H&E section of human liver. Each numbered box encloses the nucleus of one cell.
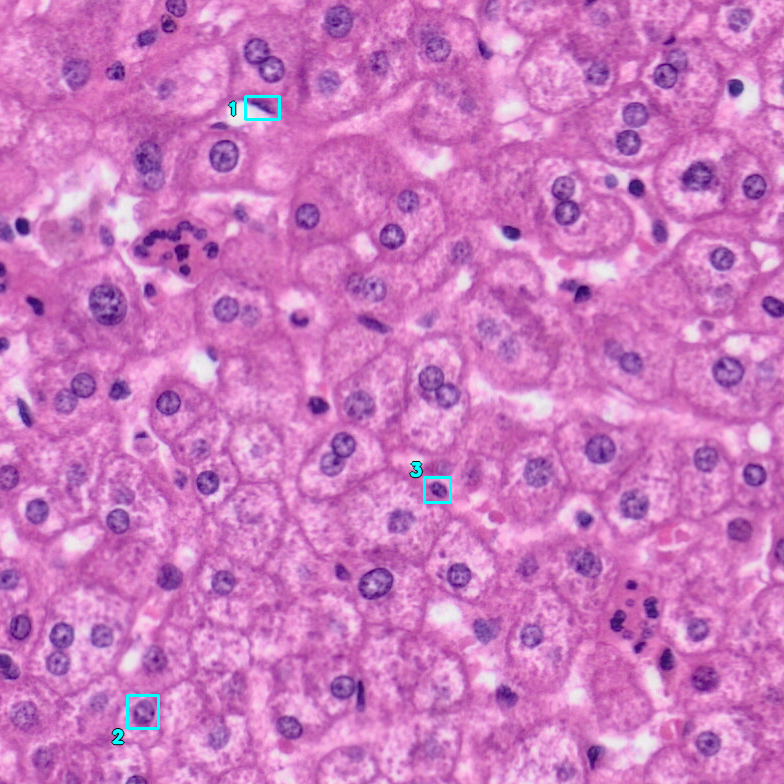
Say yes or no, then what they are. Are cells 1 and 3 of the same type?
No, as to type, cell 1 is an endothelial cell, and cell 3 is a lymphocyte.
